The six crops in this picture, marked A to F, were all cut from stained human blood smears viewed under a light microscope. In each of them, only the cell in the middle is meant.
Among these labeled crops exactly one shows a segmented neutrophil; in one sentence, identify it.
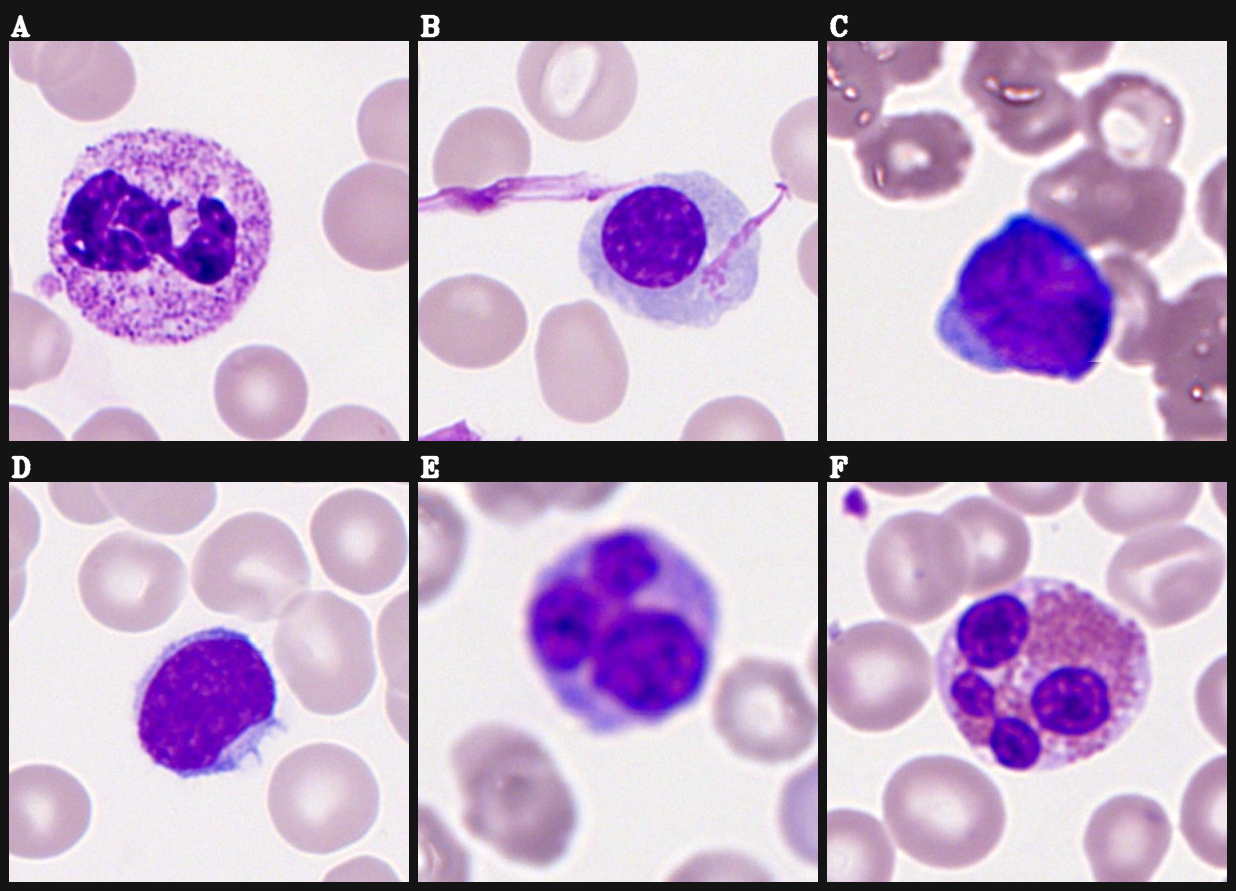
The one showing a segmented neutrophil is crop A.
